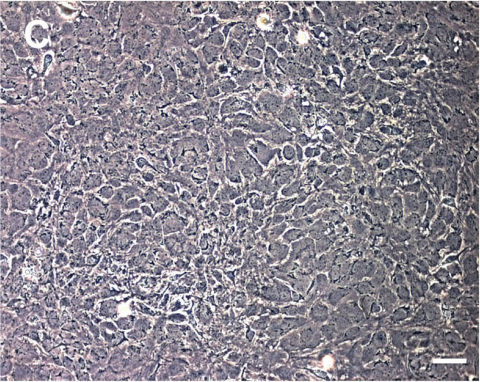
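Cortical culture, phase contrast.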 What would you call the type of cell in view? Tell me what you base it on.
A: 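Flat, broad, irregularly polygonal cells. Cells lie closely packed against each other with no long thin processes. That points to this answer: astrocytes.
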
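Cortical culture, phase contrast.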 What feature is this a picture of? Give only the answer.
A: Monolayer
